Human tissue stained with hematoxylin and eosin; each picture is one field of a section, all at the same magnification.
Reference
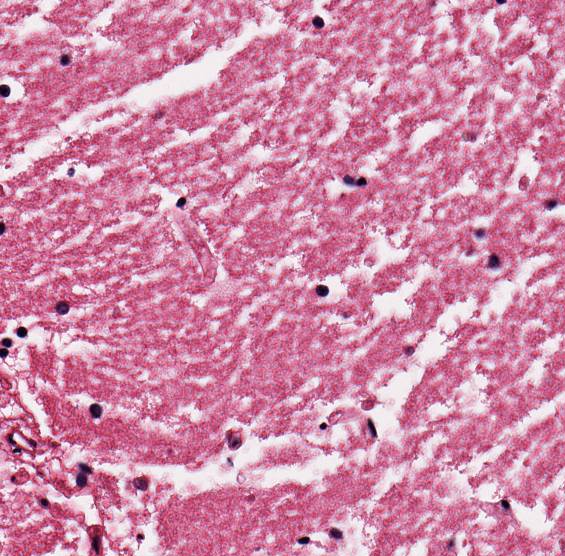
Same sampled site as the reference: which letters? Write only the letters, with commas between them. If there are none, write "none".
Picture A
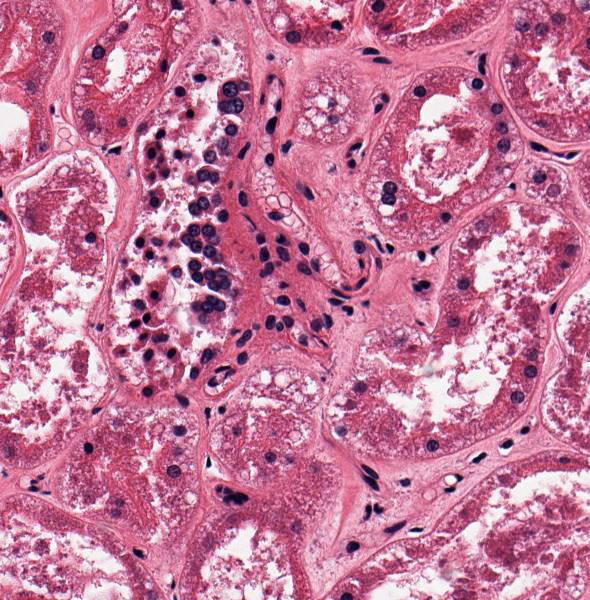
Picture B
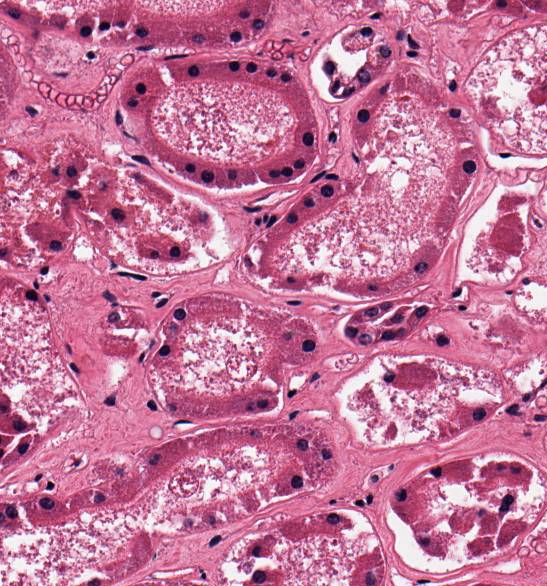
none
